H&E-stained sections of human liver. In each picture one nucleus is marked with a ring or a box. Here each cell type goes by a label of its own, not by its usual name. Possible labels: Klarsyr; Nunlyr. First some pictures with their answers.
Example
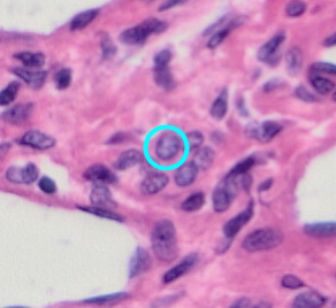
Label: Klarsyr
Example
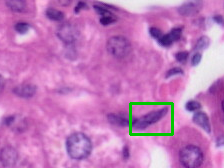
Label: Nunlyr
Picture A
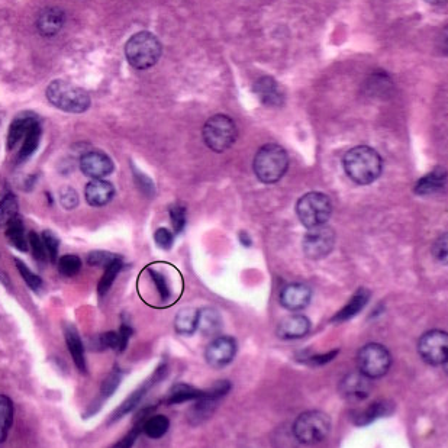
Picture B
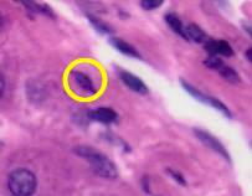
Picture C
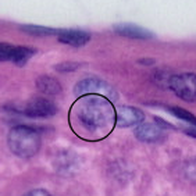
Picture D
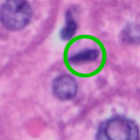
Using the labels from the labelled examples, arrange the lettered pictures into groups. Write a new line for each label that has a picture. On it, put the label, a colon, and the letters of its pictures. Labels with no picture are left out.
Klarsyr: C
Nunlyr: A, B, D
